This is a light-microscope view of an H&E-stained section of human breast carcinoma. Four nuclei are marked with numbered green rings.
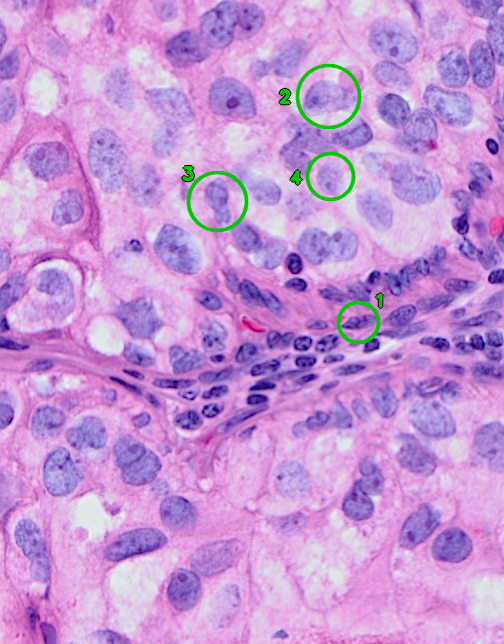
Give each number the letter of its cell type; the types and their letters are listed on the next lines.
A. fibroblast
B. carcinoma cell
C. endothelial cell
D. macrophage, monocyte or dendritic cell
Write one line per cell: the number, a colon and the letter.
1: C
2: B
3: B
4: B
